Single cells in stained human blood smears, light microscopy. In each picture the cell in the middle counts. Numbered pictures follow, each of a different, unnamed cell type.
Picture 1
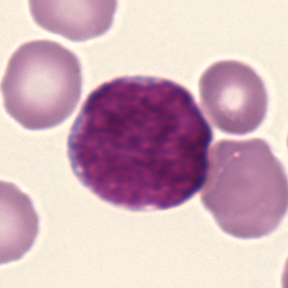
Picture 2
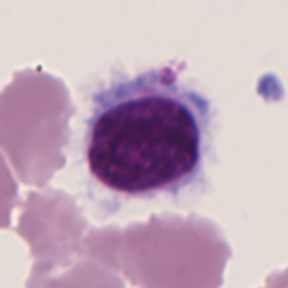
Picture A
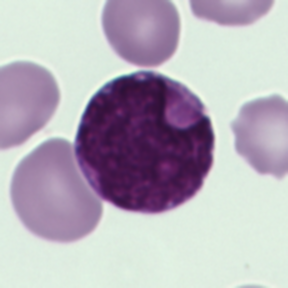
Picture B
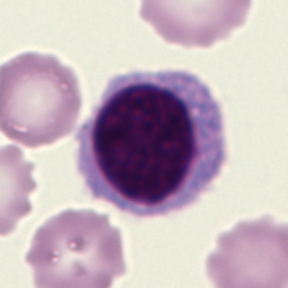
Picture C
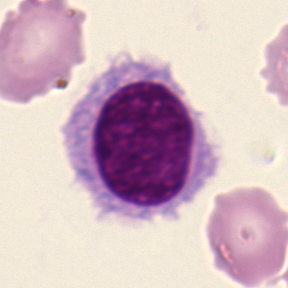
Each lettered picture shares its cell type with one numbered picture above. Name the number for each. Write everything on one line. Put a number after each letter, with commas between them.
A 1, B 2, C 2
